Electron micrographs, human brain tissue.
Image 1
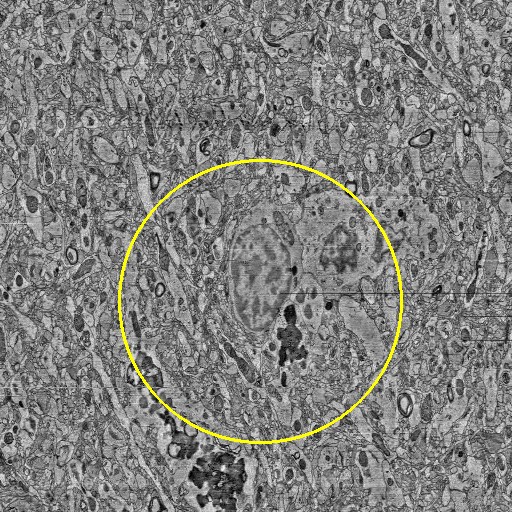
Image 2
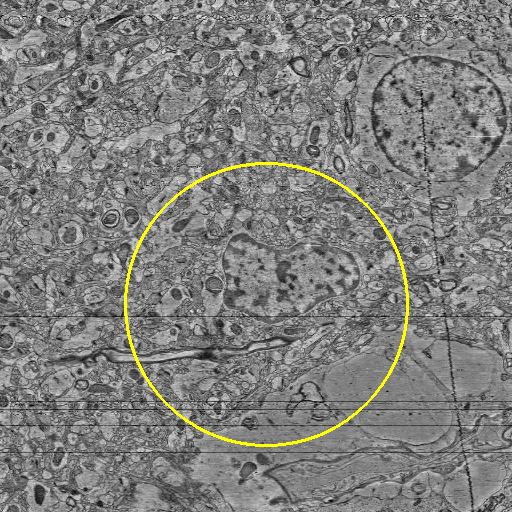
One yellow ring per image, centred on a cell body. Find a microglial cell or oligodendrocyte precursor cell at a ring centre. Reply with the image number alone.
2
